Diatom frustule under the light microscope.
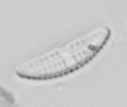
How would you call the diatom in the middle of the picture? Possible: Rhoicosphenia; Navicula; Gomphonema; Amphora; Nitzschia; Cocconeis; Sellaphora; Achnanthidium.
I would call it Amphora.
